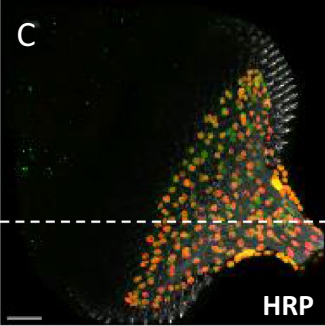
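This is a larval eye disc in which glial nuclei fill a wedge-shaped field in the posterior part of the disc, while the anterior part is empty and dark. The nuclei are small, round and fairly evenly spaced, and most show both red and green so that they appear orange to yellow. Along the posterior edge a row of regularly spaced white bundles marks the photoreceptor axons, with the nuclei crowding densely near the point where the field narrows toward the optic stalk. A few brighter yellow nuclei line the edge of the field.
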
